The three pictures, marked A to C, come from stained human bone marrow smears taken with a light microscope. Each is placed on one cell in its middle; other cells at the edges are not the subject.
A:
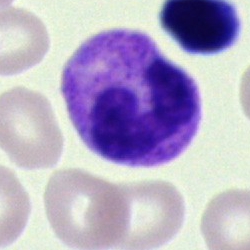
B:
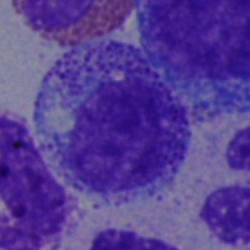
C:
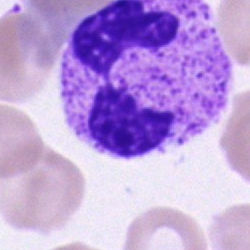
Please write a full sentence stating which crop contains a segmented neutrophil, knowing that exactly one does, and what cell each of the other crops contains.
What crop C shows is a segmented neutrophil, while crop A is a band neutrophil and crop B is a promyelocyte.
